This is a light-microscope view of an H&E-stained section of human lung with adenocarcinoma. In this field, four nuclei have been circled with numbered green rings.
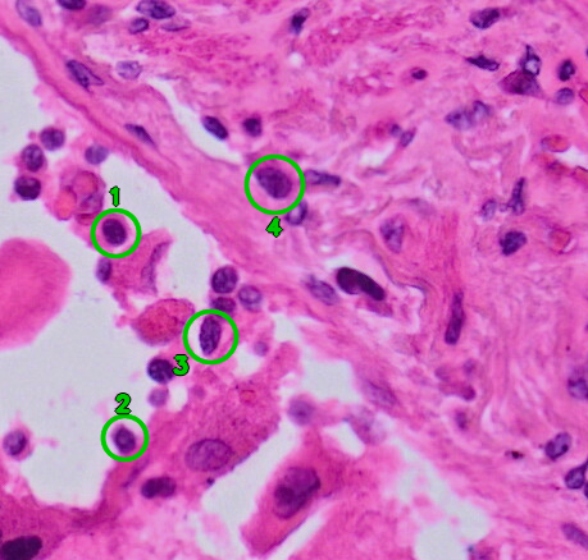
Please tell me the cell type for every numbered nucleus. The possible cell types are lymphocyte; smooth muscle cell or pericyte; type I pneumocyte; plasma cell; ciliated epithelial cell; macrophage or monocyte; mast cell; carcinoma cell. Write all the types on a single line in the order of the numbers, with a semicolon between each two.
lymphocyte; lymphocyte; lymphocyte; plasma cell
